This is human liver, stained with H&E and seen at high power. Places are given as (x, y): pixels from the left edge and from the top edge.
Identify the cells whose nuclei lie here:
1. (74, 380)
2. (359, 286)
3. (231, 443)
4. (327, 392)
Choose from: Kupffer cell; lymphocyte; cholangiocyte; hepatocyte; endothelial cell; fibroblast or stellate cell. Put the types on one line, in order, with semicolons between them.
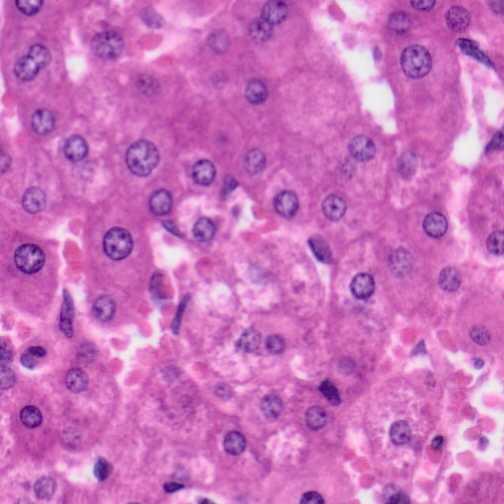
hepatocyte; hepatocyte; hepatocyte; fibroblast or stellate cell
